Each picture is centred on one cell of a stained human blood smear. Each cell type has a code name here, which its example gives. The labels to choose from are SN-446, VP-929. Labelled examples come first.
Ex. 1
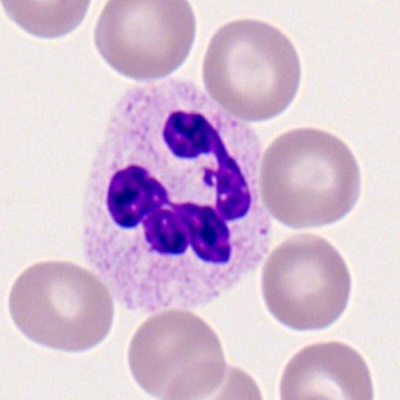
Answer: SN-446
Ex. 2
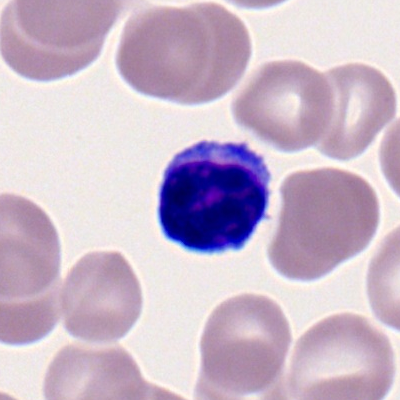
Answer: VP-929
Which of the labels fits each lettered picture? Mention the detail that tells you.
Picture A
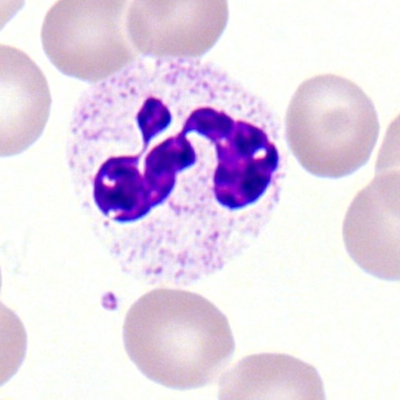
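SN-446: The nucleus is divided into more than two lobes.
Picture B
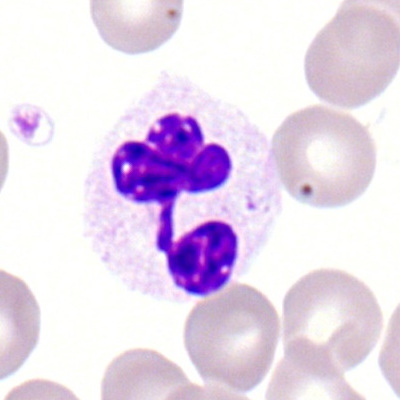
SN-446: The nucleus is divided into separate lobes rather than being a single mass.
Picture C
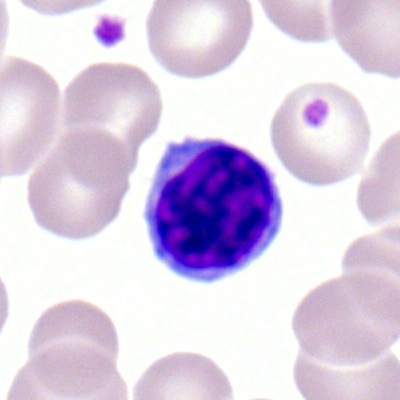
VP-929: The cytoplasm forms only a thin rim around the nucleus.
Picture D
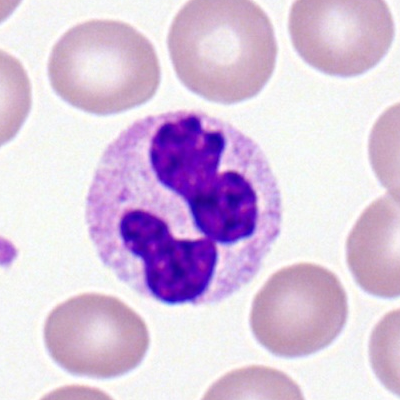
SN-446: The cytoplasm is plentiful and pale pinkish-lilac.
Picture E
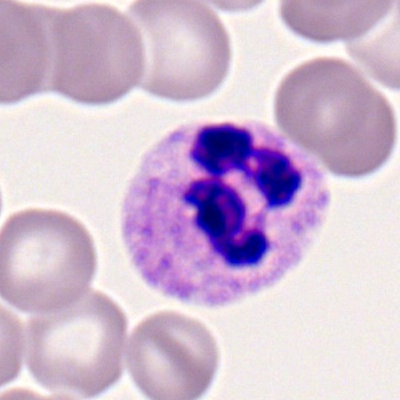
SN-446: The cytoplasm is plentiful and pale pinkish-lilac.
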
